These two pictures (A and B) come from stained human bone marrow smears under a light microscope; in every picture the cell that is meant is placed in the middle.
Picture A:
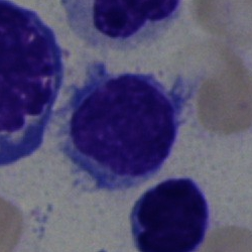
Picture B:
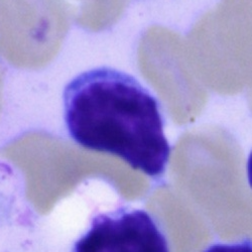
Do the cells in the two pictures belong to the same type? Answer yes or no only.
yes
